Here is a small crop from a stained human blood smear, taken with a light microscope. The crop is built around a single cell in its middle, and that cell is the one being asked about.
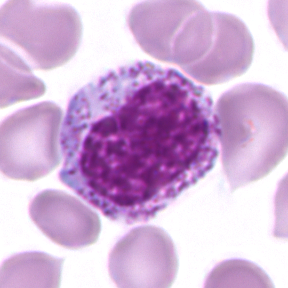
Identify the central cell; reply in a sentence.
Whatever else lies nearby, the middle cell is a metamyelocyte.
